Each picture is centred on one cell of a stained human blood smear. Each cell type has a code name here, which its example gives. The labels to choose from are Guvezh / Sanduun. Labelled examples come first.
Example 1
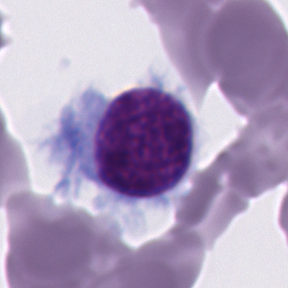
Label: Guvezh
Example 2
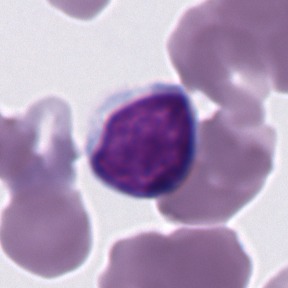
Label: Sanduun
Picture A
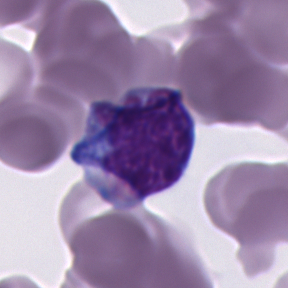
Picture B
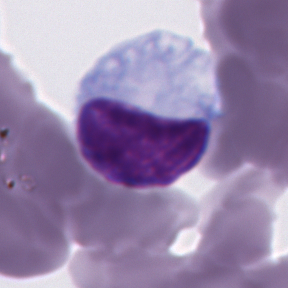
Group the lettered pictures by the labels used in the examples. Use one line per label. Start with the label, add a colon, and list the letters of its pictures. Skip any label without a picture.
Guvezh: B
Sanduun: A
